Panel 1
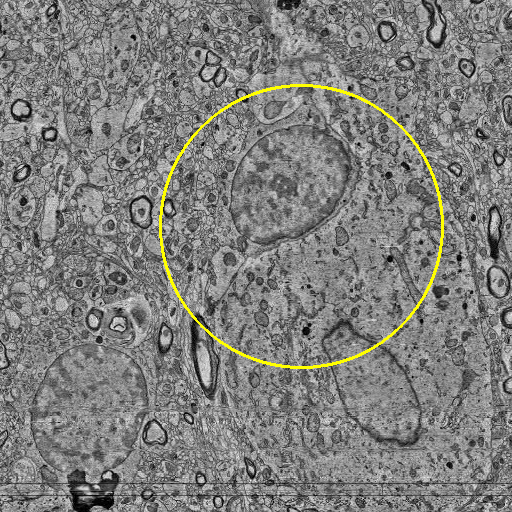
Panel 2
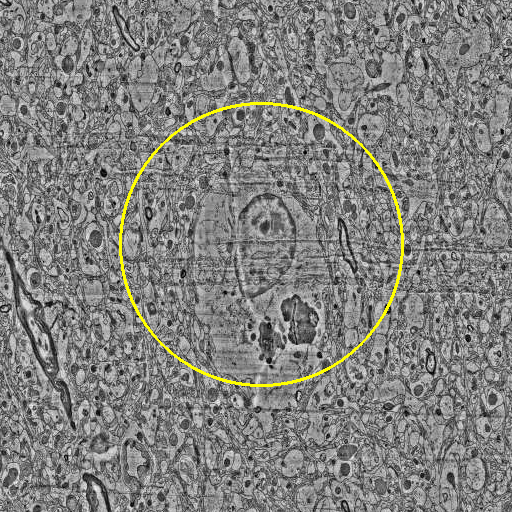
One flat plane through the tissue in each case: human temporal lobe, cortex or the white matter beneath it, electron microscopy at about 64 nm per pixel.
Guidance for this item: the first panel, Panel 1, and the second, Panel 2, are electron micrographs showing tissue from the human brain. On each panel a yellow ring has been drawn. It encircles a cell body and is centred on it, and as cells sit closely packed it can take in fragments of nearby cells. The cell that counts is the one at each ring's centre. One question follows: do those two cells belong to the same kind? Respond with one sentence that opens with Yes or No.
No, the cells at the ring centres in Panel 1 and Panel 2 are of two kinds.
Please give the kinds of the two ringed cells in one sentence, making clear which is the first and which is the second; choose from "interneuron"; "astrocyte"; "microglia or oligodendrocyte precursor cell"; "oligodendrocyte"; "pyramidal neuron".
In the second picture the ringed cell is an astrocyte; in the first it is an oligodendrocyte.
